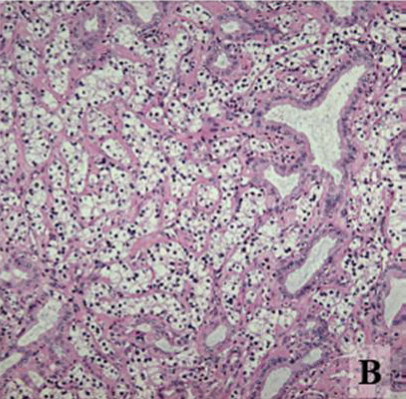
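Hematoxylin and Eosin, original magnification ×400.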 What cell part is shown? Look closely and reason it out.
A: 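Clear and abundant cytoplasm. The cytoplasm of most cells is pale and unstained. The cytoplasm is wide compared with the small nucleus.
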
